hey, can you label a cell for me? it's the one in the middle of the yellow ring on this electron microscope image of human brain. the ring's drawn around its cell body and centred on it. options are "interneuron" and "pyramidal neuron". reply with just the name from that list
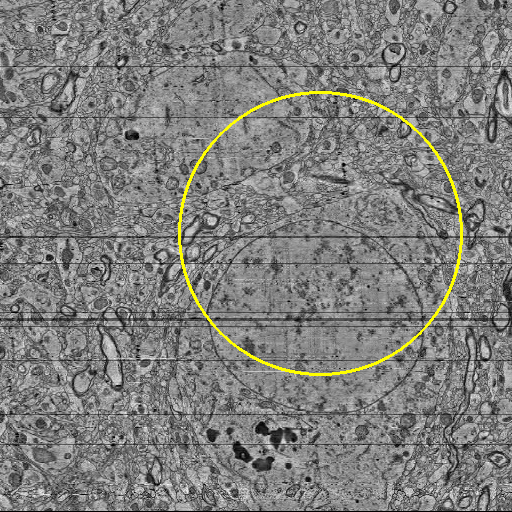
pyramidal neuron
